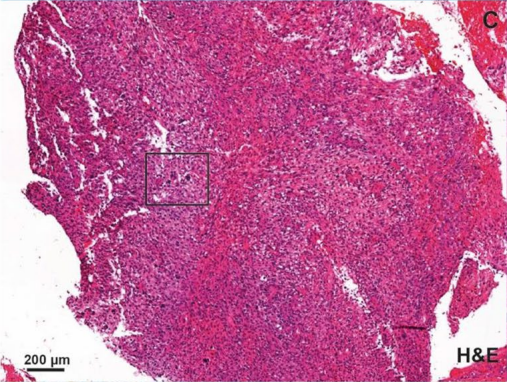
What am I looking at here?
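This is a densely cellular tumor tissue filling most of the field. Innumerable small dark purple nuclei are packed in a pink background, in places forming vague streaming fascicles. Scattered larger and darker nuclei stand out among the smaller ones. The edge of the fragment is irregular, with a few clefts and a little blood at the upper right margin.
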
